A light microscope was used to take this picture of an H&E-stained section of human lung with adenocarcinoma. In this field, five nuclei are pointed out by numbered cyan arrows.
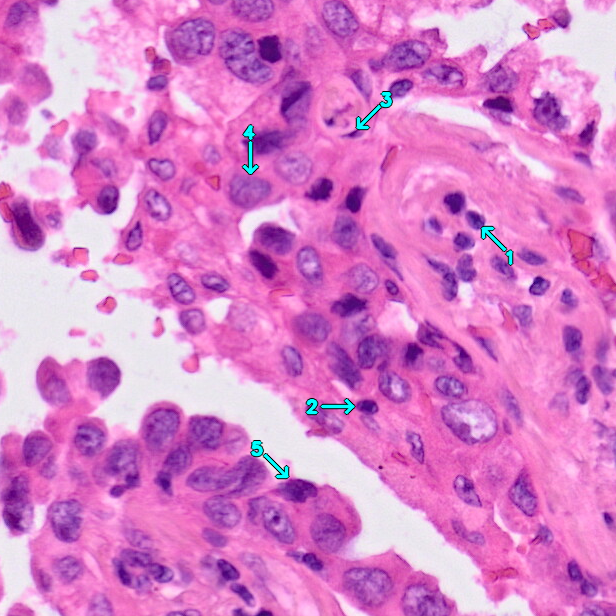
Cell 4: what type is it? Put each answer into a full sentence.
The cell assigned the number 4 is a carcinoma cell.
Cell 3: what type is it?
Cell 3 should be recorded as a fibroblast.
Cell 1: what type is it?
The cell to which the number 1 is assigned is a lymphocyte.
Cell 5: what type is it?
In this section, number 5 marks a carcinoma cell.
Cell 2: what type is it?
Looking at the numbered marks, cell 2 is a lymphocyte.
